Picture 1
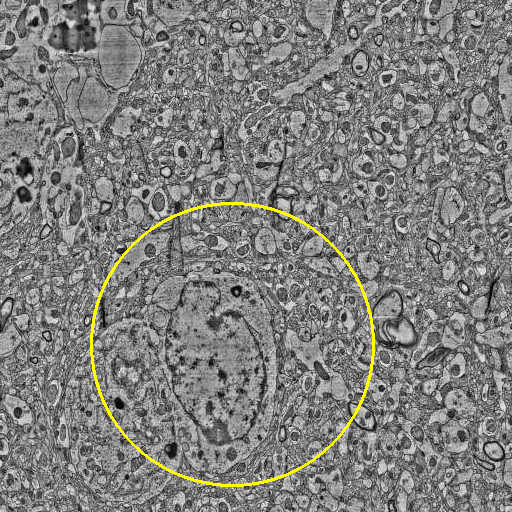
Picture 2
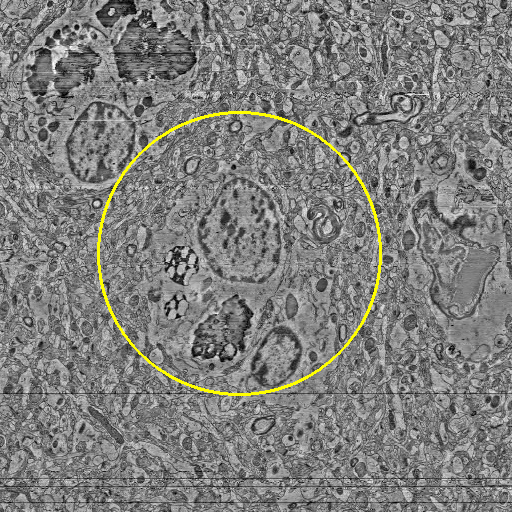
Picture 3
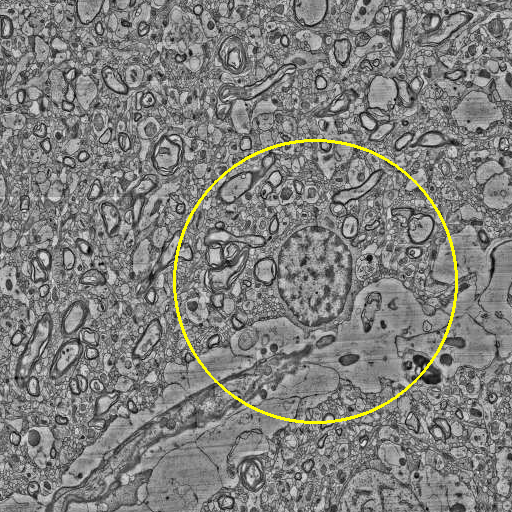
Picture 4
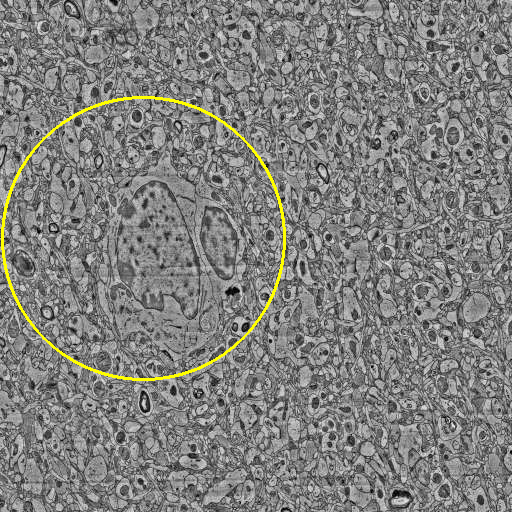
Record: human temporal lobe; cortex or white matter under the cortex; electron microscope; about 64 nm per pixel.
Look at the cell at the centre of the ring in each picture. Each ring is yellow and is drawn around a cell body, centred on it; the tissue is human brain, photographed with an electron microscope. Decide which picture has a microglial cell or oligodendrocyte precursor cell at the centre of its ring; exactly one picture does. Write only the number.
4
